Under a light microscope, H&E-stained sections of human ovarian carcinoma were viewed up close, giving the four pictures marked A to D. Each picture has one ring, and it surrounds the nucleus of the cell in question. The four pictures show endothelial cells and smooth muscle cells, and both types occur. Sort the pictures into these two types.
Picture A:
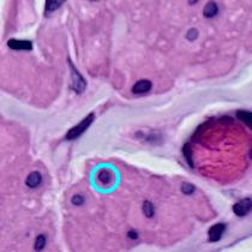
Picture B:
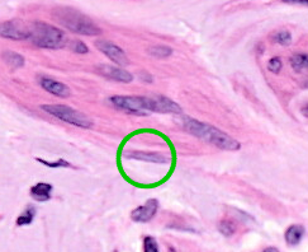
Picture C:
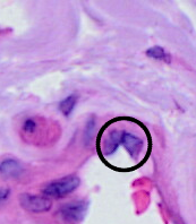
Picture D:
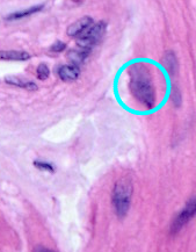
A: smooth muscle cell
B: smooth muscle cell
C: endothelial cell
D: smooth muscle cell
